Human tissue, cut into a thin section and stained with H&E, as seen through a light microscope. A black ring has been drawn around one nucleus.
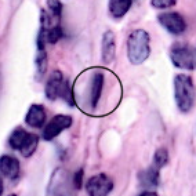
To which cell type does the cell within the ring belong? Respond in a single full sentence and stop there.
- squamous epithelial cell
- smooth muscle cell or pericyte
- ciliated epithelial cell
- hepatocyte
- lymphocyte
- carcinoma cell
The correct response here is that the cell within the ring is a lymphocyte.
